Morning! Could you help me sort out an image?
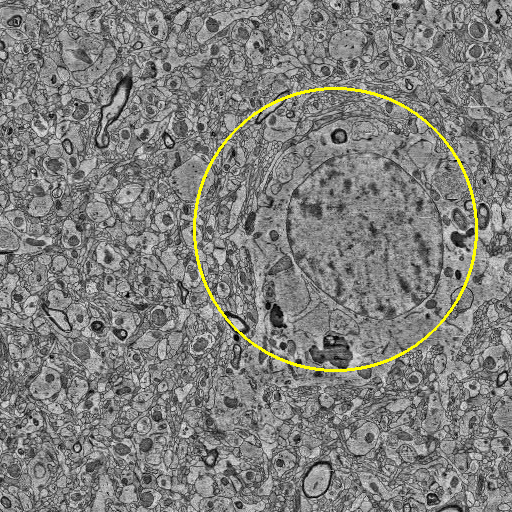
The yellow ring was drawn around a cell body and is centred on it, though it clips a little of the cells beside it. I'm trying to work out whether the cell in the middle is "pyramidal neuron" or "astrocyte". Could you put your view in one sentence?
The ringed cell body is that of an astrocyte.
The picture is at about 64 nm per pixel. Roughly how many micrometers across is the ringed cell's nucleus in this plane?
Roughly 10 micrometres across for the nucleus, in this plane.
